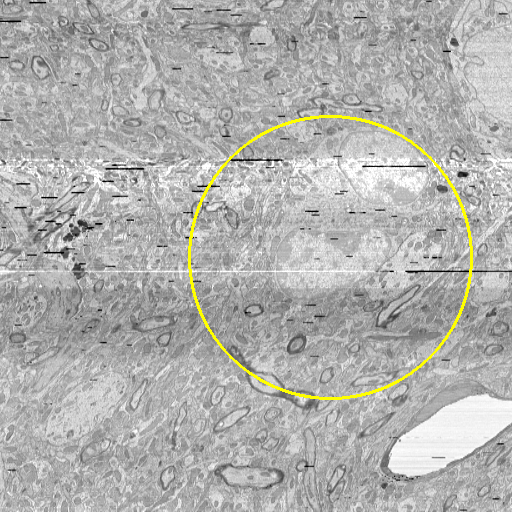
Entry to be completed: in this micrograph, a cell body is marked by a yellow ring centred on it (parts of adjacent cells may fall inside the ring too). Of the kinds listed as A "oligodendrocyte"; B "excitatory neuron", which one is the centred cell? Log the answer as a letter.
A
